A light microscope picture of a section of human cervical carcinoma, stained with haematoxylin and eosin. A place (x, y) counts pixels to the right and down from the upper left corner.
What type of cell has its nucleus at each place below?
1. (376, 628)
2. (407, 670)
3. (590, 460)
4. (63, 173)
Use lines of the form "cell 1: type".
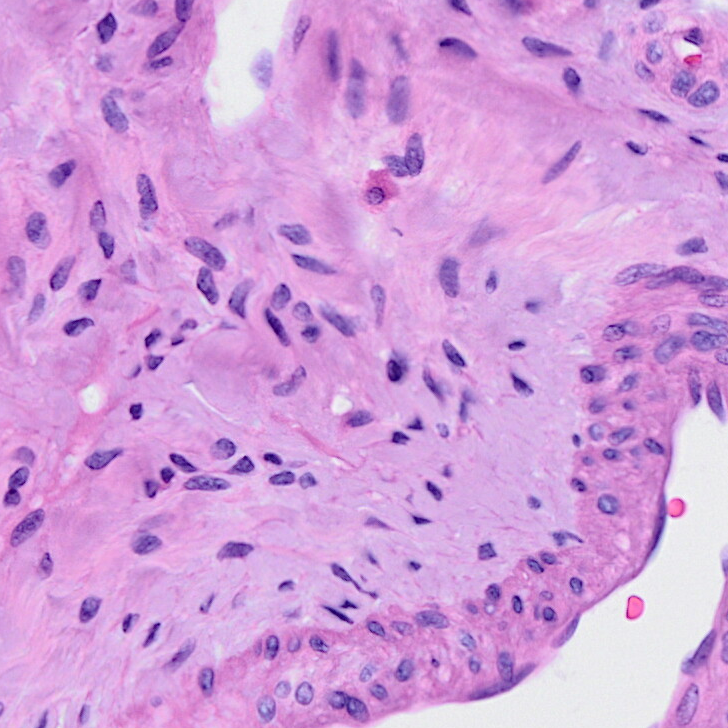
cell 1: smooth muscle cell
cell 2: smooth muscle cell
cell 3: smooth muscle cell
cell 4: fibroblast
